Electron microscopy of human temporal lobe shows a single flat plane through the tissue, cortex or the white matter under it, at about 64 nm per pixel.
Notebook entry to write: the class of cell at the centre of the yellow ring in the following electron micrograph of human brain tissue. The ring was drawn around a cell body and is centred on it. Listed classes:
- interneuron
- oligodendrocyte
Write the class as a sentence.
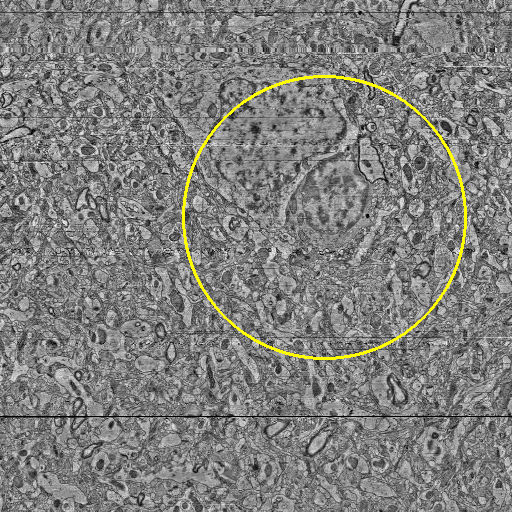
The yellow ring sits on an oligodendrocyte.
